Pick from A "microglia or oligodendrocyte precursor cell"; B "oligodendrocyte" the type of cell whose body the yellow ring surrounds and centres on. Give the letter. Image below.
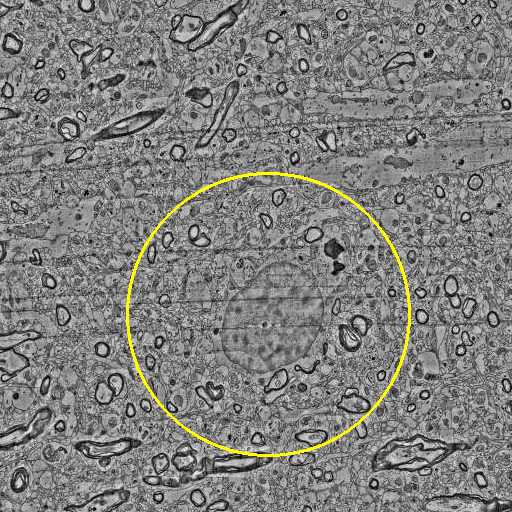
B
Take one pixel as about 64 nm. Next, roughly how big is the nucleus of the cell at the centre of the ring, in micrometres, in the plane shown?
About 7 micrometres by about 6 micrometres in this plane.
